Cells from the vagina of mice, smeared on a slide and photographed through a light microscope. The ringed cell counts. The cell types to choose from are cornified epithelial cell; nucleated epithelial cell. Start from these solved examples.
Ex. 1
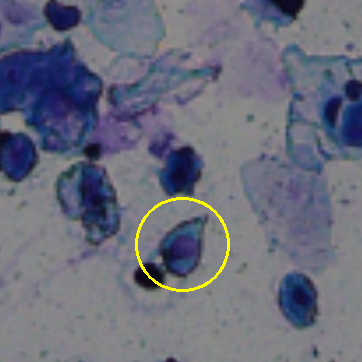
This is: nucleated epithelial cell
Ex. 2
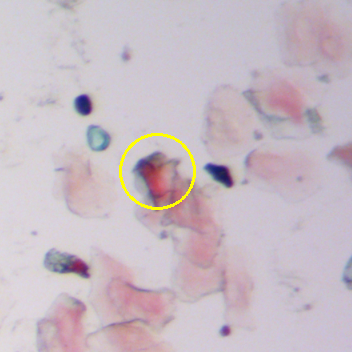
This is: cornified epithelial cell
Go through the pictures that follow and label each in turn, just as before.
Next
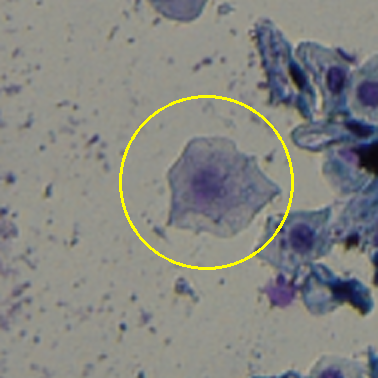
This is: nucleated epithelial cell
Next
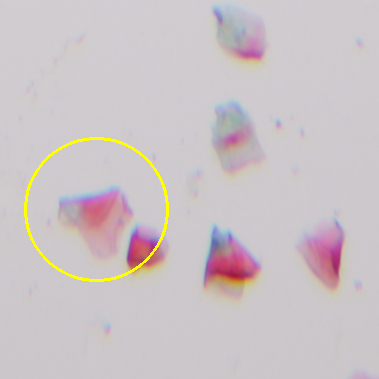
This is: cornified epithelial cell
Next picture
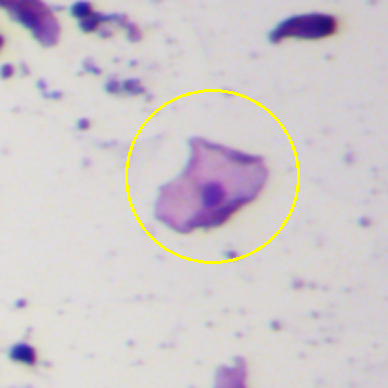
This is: nucleated epithelial cell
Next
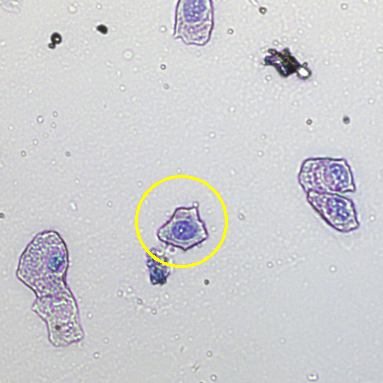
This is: nucleated epithelial cell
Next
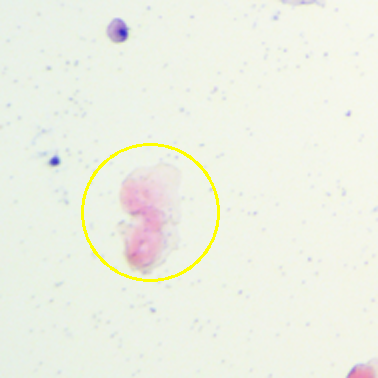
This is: cornified epithelial cell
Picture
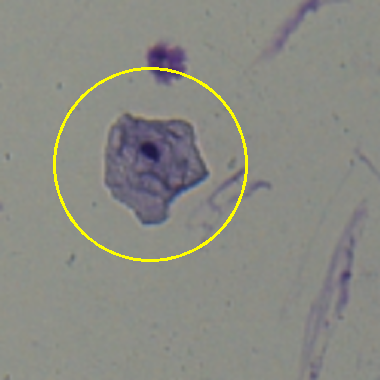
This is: nucleated epithelial cell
